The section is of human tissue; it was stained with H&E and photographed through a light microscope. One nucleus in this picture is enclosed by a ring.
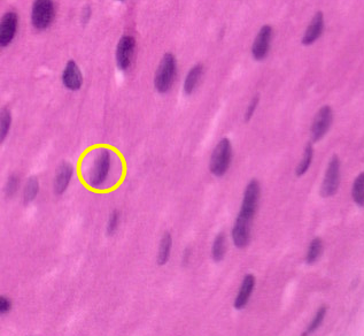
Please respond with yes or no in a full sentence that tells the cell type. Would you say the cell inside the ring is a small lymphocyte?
No, in this tissue section, the cell inside the ring is not a small lymphocyte but a squamous epithelial cell.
